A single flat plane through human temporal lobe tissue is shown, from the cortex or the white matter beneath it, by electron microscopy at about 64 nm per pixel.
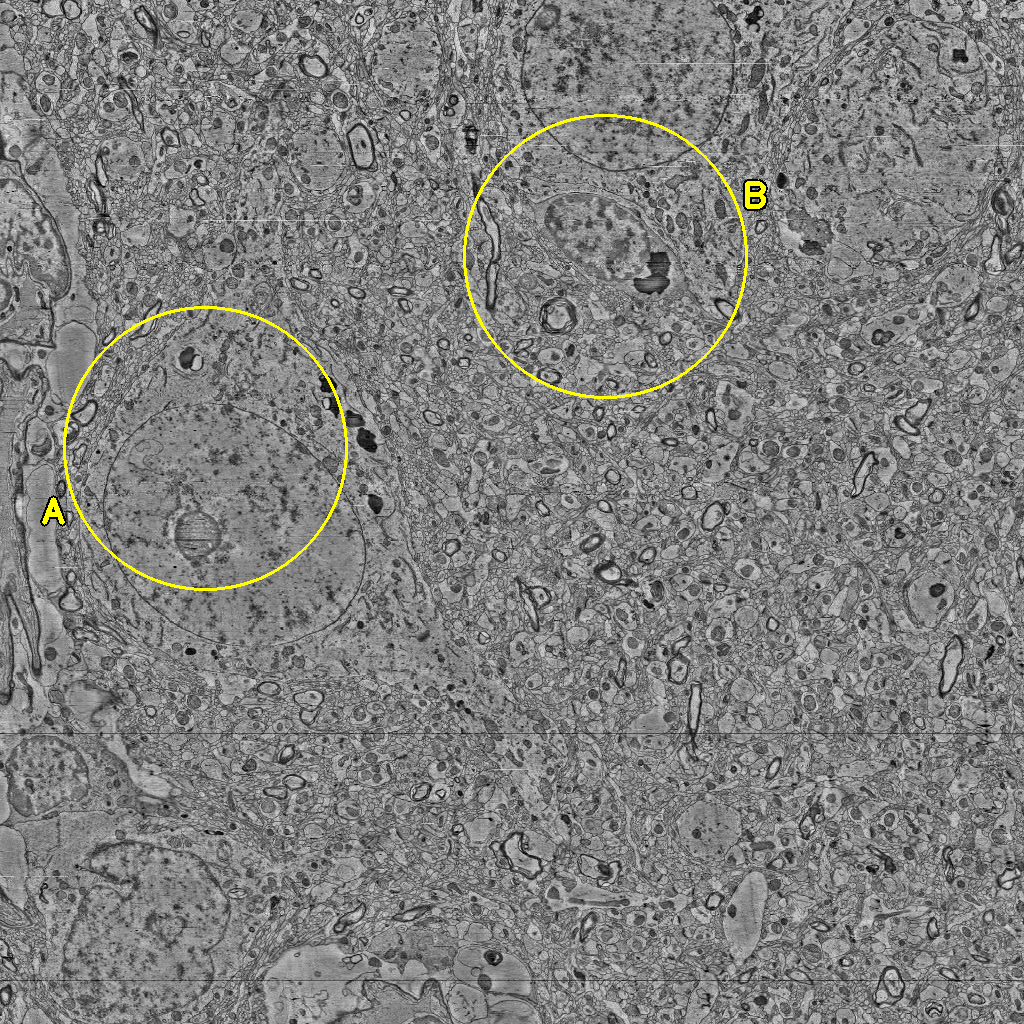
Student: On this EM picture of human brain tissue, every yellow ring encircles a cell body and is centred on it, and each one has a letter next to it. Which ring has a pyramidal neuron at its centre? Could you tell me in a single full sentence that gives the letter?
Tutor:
Ring A is the one drawn around the cell you are asking about.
